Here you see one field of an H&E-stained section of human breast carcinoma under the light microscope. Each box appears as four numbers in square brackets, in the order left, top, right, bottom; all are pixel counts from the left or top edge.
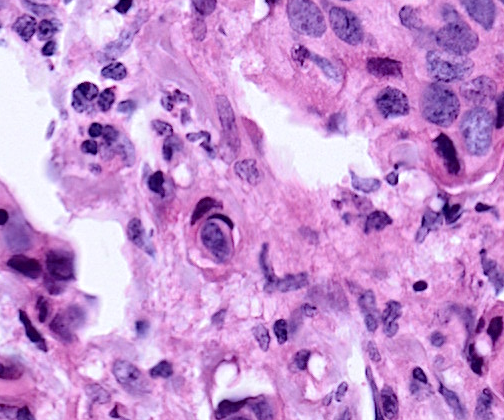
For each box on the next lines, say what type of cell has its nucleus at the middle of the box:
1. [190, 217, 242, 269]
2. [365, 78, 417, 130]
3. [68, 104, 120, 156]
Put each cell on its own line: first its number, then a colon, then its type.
1: carcinoma cell
2: carcinoma cell
3: lymphocyte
